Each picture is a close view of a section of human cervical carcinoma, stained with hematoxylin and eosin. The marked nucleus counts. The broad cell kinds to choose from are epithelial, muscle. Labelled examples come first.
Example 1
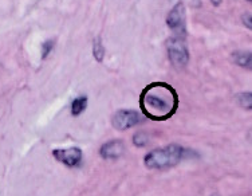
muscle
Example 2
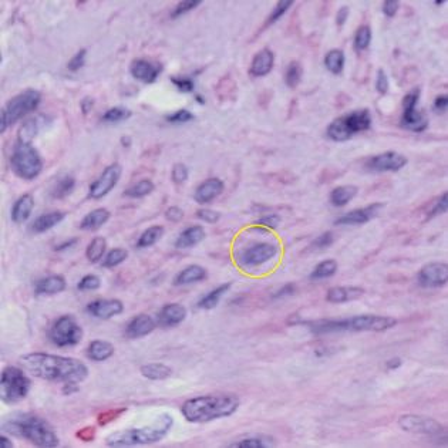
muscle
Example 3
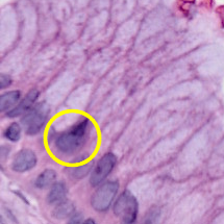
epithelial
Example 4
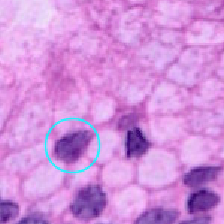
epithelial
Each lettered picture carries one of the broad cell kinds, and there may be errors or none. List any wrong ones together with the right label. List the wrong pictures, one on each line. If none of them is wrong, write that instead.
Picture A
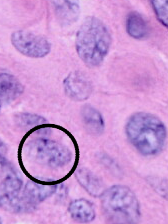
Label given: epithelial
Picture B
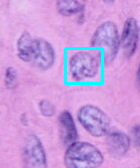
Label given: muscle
B: not muscle but epithelial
